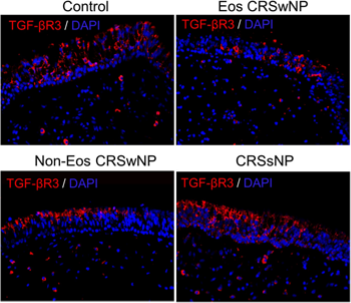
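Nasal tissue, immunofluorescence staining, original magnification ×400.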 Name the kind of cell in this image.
Epithelial cells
